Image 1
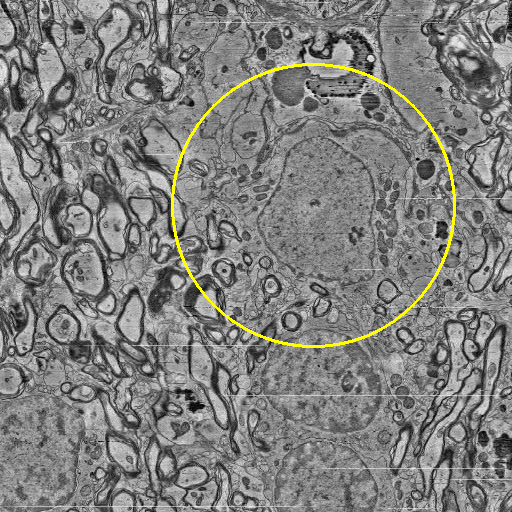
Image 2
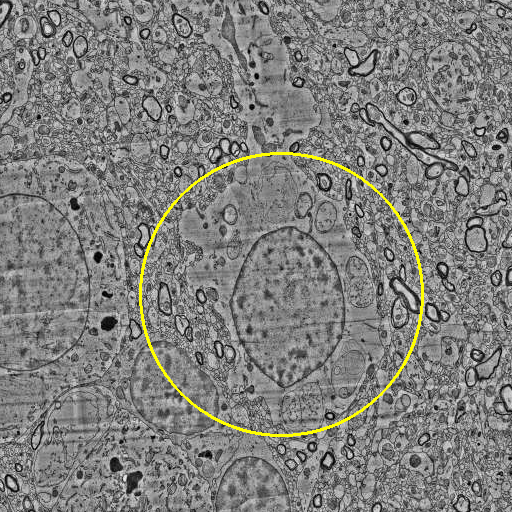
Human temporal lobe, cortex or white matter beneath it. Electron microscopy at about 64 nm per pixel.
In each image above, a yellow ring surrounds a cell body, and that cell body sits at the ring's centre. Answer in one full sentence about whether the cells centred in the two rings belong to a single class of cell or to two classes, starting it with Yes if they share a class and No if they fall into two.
Yes, the cells centred in the two yellow rings belong to a single class of cell.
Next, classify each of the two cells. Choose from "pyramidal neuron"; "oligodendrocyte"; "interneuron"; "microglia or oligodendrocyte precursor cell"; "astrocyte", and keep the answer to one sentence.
Each cell, in the first picture and the second, is an astrocyte.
